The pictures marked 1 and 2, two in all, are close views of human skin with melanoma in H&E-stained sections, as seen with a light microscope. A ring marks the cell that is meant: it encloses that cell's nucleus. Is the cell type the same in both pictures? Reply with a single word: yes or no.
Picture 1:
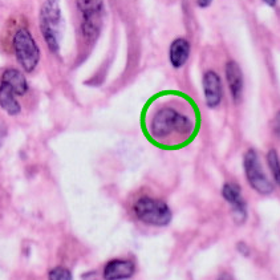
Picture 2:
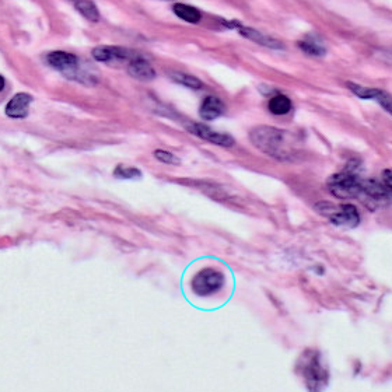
no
